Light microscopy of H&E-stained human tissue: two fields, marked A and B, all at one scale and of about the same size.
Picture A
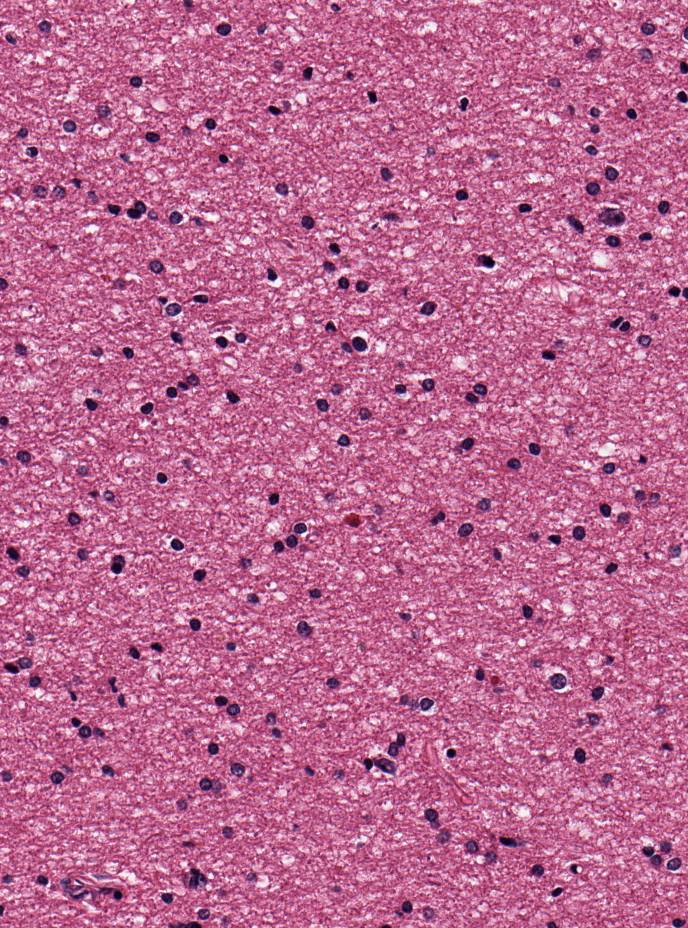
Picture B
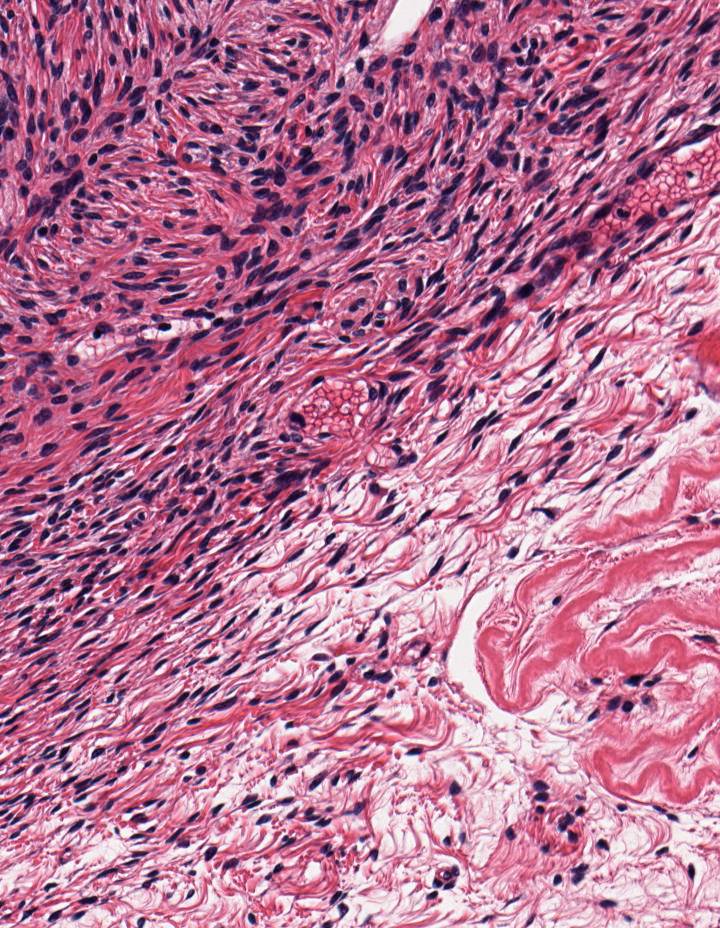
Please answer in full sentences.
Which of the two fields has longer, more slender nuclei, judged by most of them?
The nuclei are more elongated in picture B.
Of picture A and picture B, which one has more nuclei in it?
There are more nuclei in picture B.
